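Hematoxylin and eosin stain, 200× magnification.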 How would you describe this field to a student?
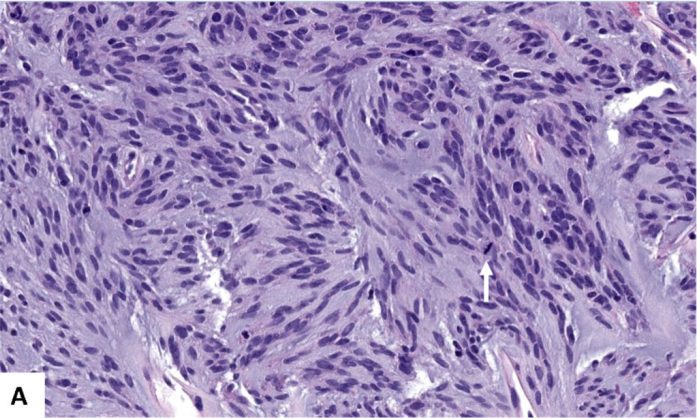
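This is a neoplastic proliferation of spindle cells, packed densely and arranged in fascicles. The nuclei are elongated, oval to cigar-shaped and dark purple, with pale, poorly outlined cytoplasm. The bundles stream and swirl in different directions within a pale purple, loose background. A small, very dark, condensed nucleus stands out among the others as a mitotic figure.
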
